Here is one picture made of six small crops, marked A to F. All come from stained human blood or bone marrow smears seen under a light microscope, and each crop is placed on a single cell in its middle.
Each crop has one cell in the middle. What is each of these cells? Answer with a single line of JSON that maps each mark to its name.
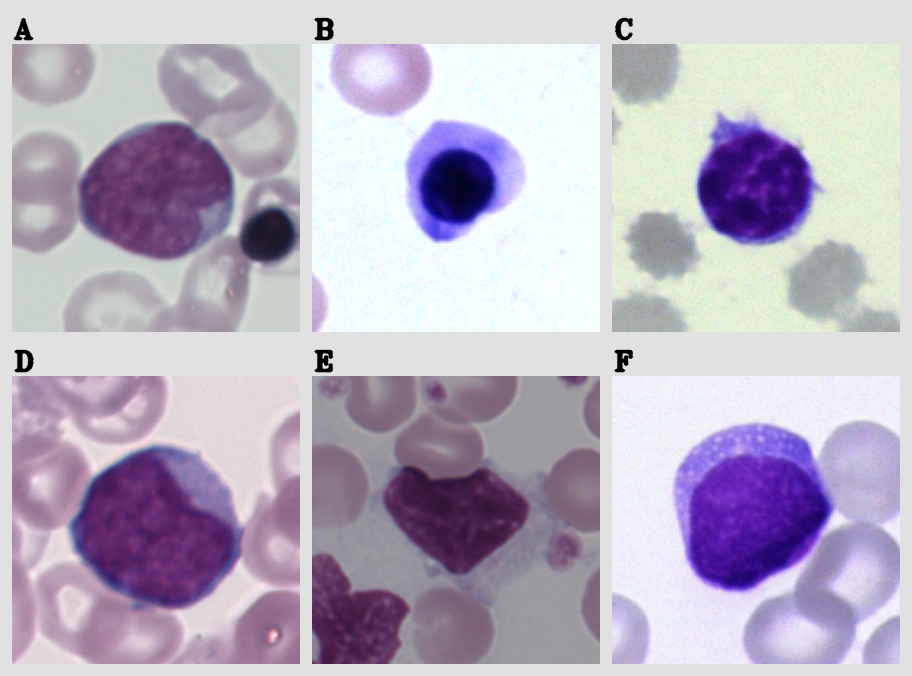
{"A": "blast", "B": "erythroblast", "C": "lymphocyte", "D": "blast", "E": "lymphocyte", "F": "blast"}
